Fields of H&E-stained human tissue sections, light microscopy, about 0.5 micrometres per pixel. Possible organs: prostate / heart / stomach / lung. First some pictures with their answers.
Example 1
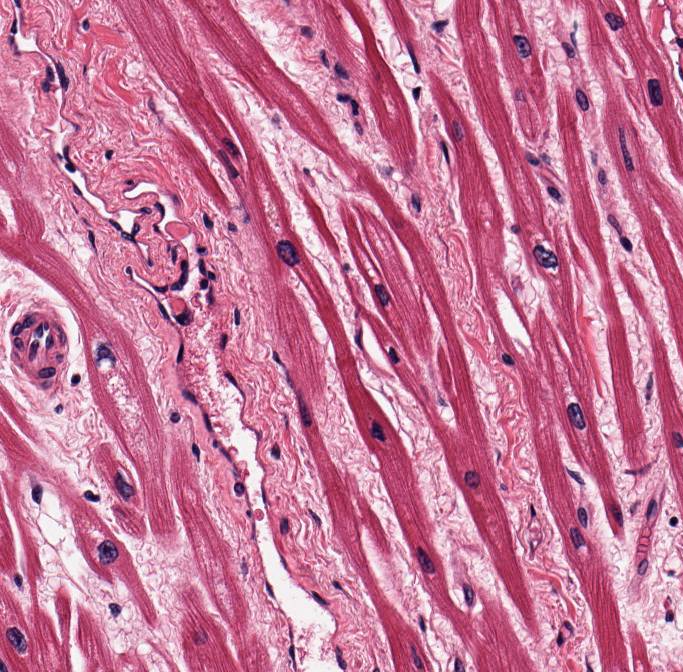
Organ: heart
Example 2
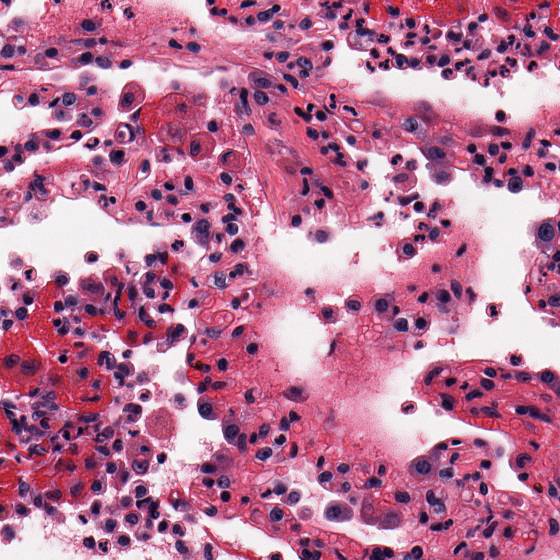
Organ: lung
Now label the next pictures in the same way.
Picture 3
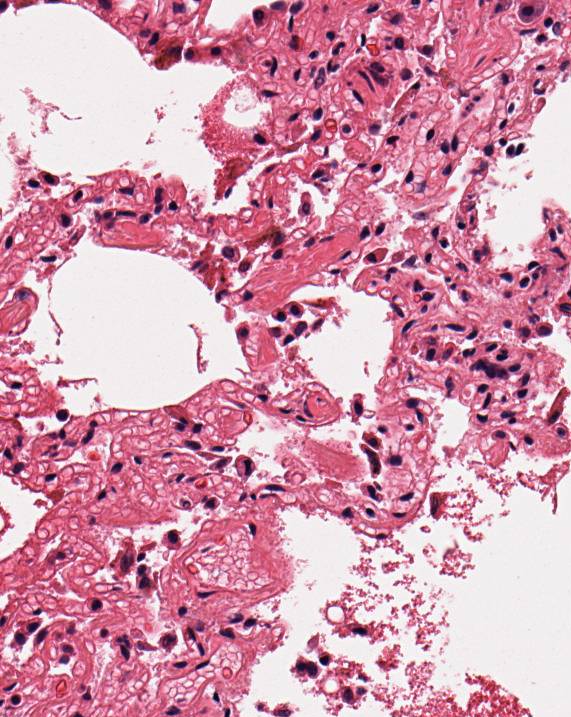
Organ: lung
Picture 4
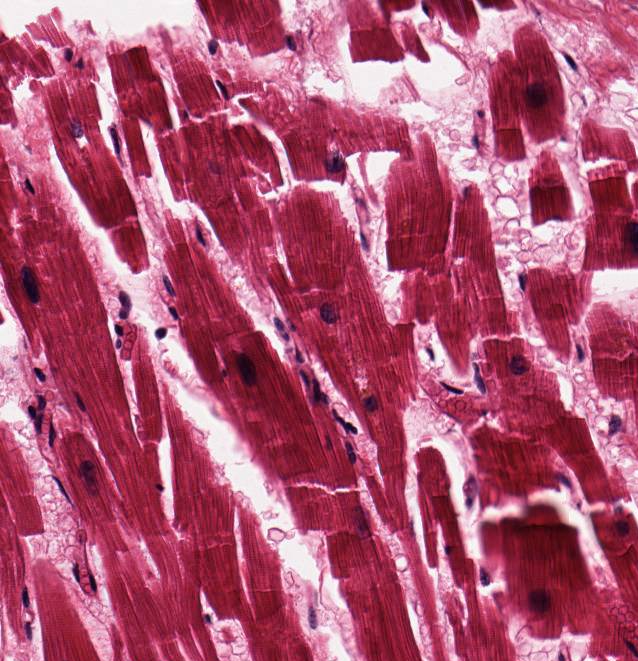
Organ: heart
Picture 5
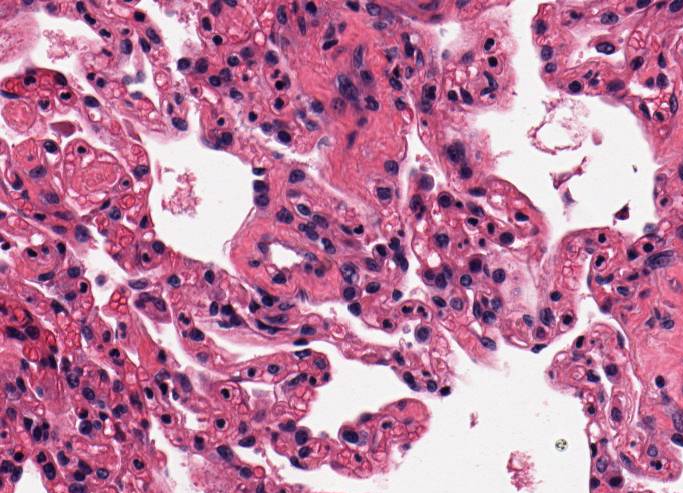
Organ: lung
